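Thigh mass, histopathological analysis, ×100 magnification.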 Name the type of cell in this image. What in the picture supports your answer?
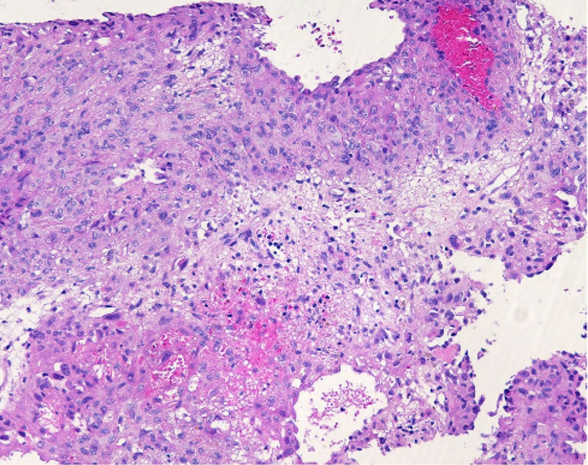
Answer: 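Large polygonal cells with ample pink cytoplasm. Round to oval nuclei of varying size. Cells lie in cohesive sheets and clusters rather than spindled fascicles.
Hence: epithelioid neoplastic cells.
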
